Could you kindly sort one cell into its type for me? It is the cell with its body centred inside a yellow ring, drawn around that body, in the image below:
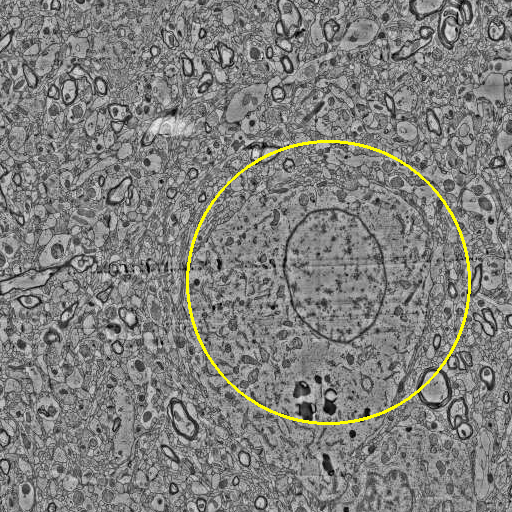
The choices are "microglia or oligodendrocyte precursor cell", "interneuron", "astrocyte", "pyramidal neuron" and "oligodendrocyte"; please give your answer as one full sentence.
The cell whose body lies centred in the yellow ring here is a pyramidal neuron.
